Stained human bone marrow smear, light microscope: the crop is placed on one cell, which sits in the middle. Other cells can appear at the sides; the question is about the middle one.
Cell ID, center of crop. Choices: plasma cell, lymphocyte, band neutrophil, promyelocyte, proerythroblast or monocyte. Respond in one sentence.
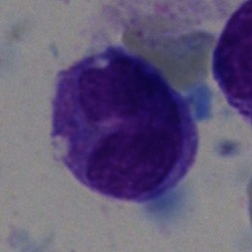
The crop's centre is taken up by a monocyte.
